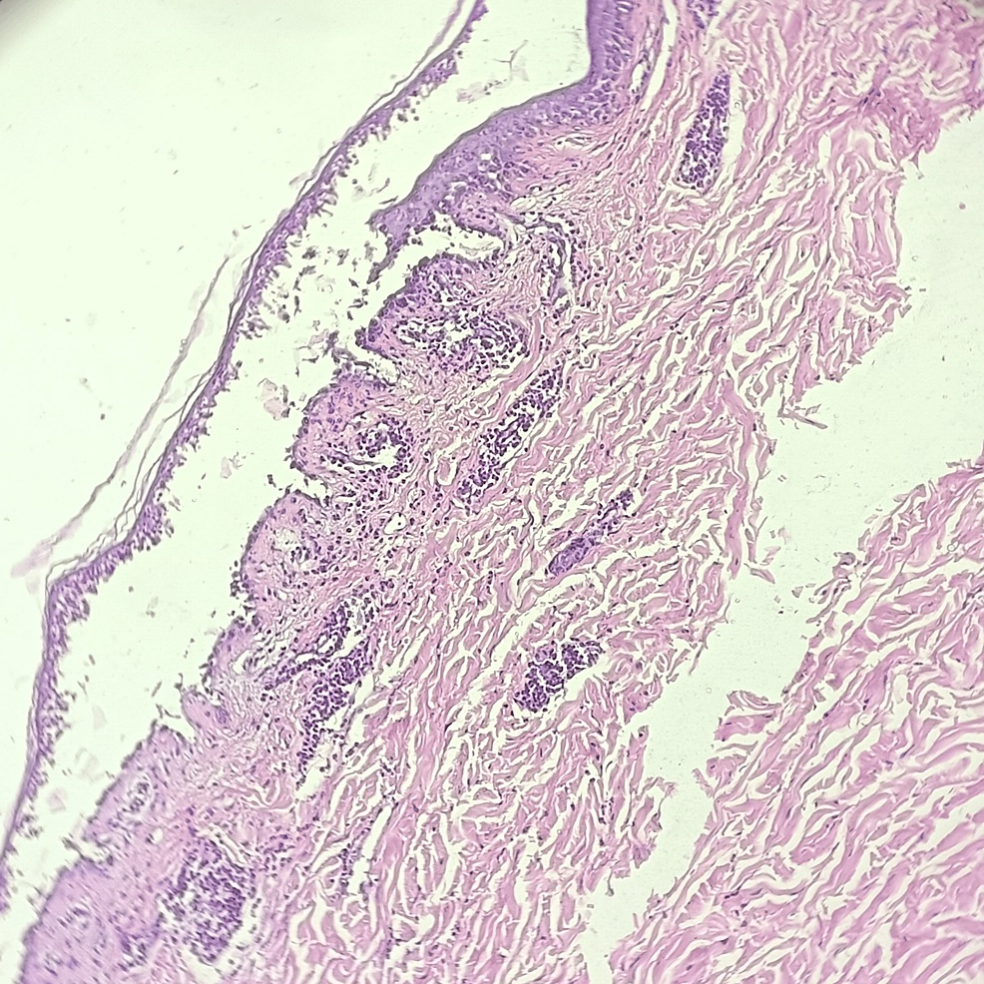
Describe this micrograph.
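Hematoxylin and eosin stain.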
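This is a section of skin with epidermis over pink, wavy dermal collagen, showing a split inside the epidermis just above the basal layer. The upper part of the epidermis has lifted away as a thin, dark purple strip of epithelium that forms the roof of a wide, pale space at upper left. The floor of the space is lined by a single row of basal cells that stay attached over the dermal papillae, which project upward. A few loose, rounded cells and debris float within the space. The dermis below holds scattered clusters of dark blue nuclei around small vessels and loosely arranged collagen bundles.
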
